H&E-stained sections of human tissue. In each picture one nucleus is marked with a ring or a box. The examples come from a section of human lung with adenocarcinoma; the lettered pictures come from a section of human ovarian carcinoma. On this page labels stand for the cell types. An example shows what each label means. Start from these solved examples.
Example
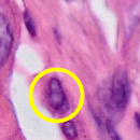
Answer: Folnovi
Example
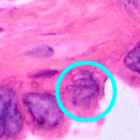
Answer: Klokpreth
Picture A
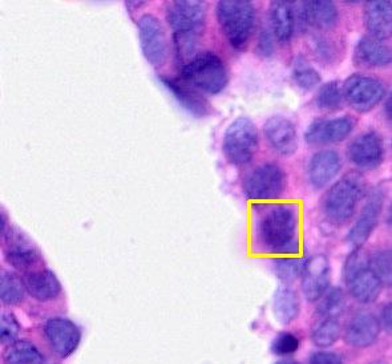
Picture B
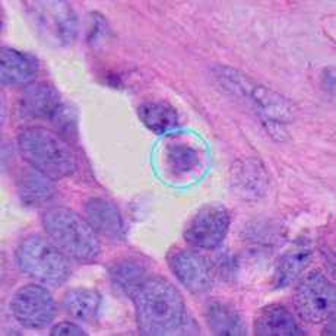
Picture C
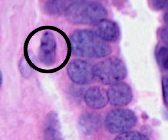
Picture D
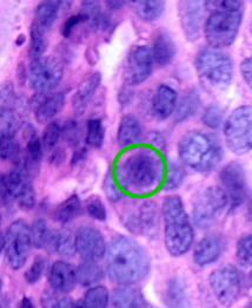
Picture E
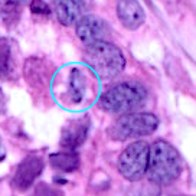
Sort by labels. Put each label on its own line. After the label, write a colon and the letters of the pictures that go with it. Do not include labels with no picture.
Folnovi: B, C, E
Klokpreth: A, D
